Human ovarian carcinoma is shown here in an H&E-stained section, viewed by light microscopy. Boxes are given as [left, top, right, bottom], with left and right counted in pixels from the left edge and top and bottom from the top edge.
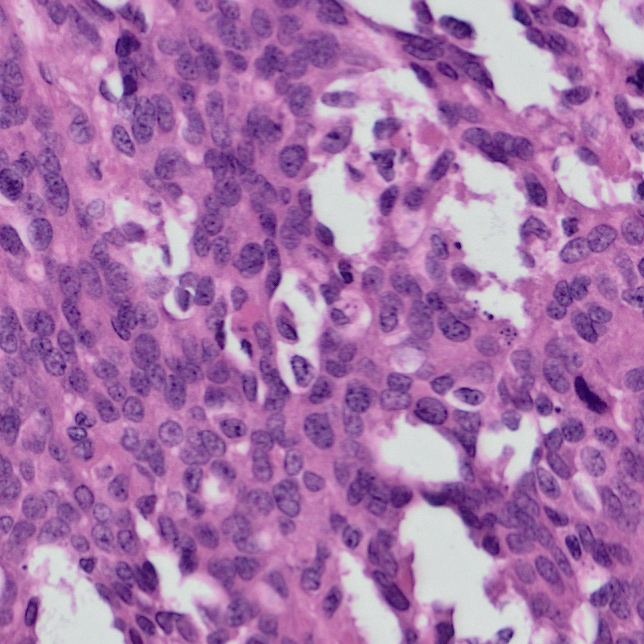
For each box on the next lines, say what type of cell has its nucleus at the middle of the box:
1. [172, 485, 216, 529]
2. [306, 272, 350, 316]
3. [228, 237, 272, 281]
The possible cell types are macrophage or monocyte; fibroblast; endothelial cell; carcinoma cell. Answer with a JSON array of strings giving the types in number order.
["carcinoma cell", "macrophage or monocyte", "carcinoma cell"]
